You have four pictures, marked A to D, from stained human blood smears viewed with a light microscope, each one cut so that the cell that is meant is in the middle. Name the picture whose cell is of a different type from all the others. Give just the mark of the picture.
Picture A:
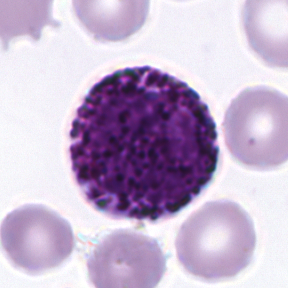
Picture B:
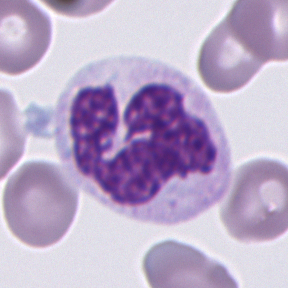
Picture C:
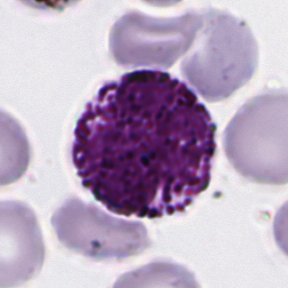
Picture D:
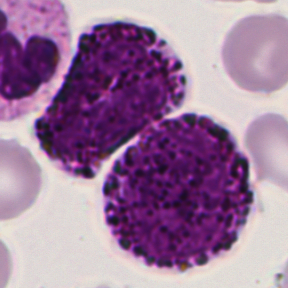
B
